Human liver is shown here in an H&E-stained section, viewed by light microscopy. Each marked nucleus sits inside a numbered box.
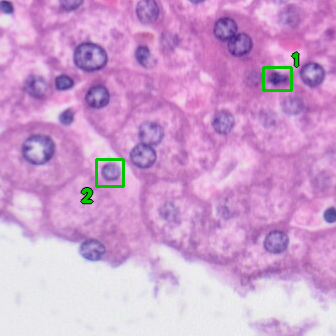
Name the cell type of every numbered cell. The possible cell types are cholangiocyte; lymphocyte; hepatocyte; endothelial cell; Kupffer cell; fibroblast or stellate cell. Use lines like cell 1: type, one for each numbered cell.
cell 1: fibroblast or stellate cell
cell 2: Kupffer cell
